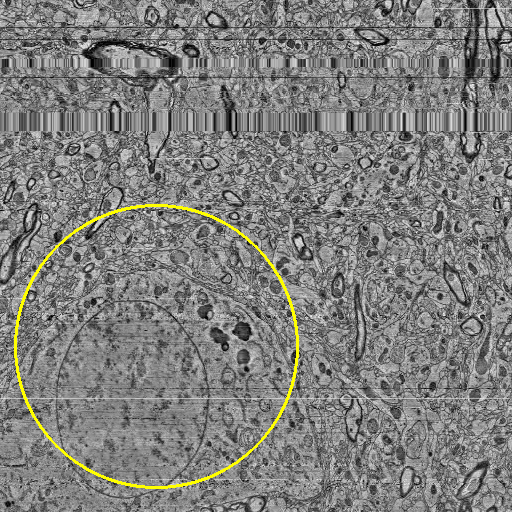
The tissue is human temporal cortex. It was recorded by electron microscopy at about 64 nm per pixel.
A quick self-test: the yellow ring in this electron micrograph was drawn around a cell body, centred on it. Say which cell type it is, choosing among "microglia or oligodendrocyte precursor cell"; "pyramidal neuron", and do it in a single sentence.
The yellow-ringed cell is a pyramidal neuron.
